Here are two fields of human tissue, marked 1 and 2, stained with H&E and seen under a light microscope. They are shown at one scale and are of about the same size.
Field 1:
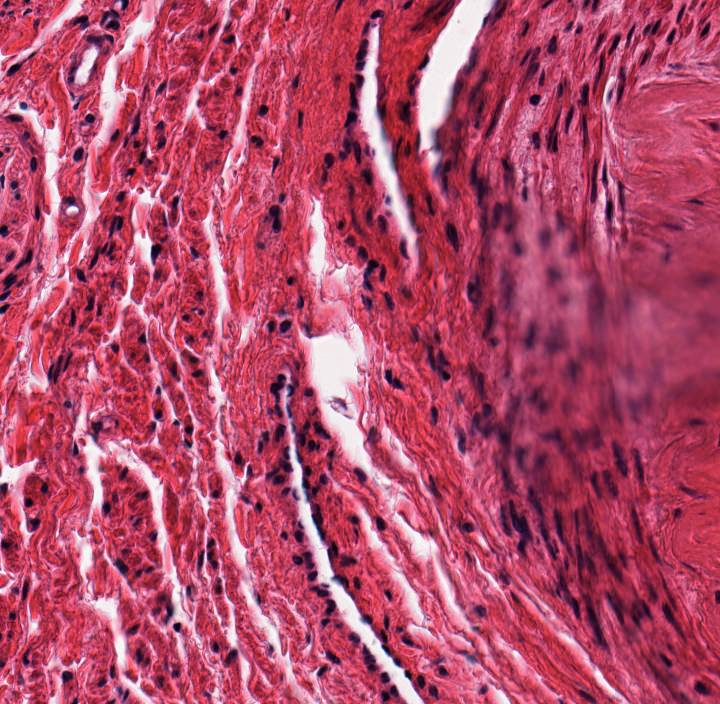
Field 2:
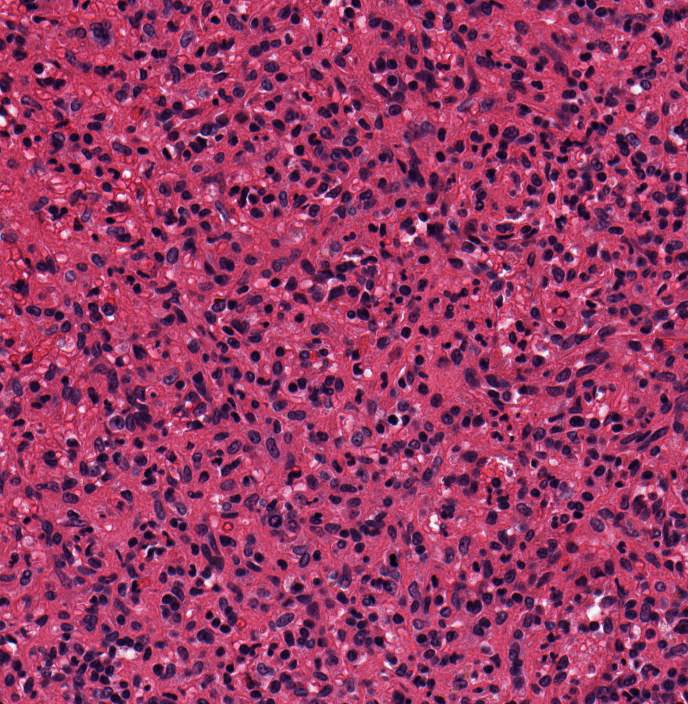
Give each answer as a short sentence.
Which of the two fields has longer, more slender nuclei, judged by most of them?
On the whole the nuclei of field 1 are more drawn out than those of field 2.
